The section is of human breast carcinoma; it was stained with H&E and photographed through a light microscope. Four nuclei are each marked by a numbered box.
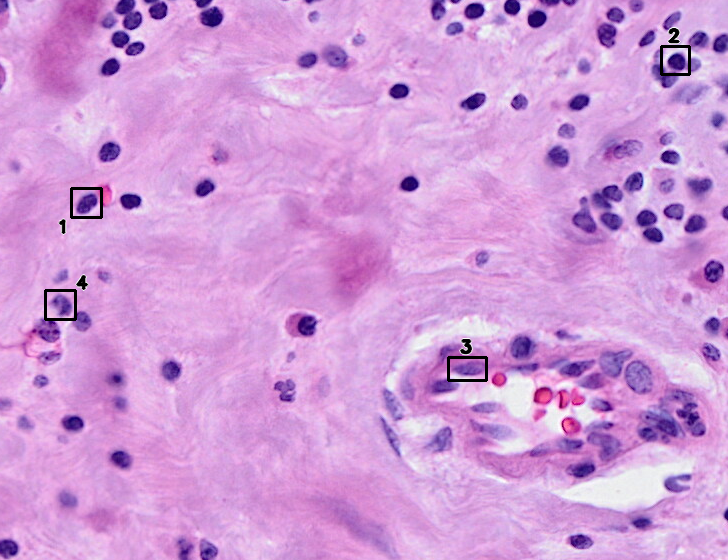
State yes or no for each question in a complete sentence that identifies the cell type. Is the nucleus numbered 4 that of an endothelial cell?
No, cell 4 has been misnamed; it is a lymphocyte, not an endothelial cell.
